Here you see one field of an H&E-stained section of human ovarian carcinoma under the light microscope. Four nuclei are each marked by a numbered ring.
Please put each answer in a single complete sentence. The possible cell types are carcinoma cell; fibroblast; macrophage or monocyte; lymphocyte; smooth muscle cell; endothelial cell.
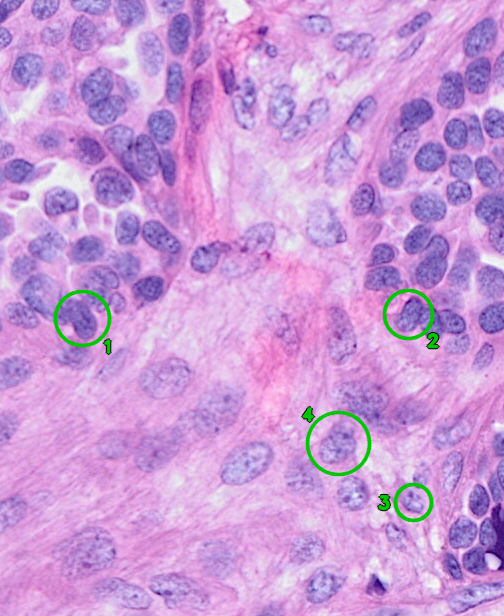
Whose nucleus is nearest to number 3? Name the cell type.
The cell nearest to number 3 is a macrophage or monocyte.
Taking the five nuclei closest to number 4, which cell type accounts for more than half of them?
Of the five nuclei nearest to number 4, most belong to fibroblasts.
